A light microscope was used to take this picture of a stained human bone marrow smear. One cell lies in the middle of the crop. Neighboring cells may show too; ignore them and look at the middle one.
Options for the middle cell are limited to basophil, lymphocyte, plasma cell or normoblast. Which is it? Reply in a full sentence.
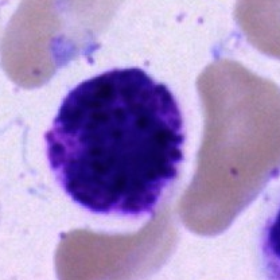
The cell at the heart of this crop is a basophil.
